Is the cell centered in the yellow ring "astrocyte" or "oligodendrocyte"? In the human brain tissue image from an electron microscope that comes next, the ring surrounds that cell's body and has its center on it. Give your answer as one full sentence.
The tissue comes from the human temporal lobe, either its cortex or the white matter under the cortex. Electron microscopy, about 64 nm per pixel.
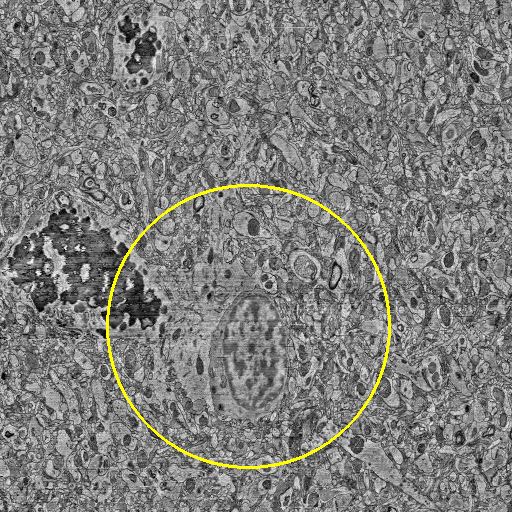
The cell at the center of the yellow ring is an oligodendrocyte in the micrograph.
